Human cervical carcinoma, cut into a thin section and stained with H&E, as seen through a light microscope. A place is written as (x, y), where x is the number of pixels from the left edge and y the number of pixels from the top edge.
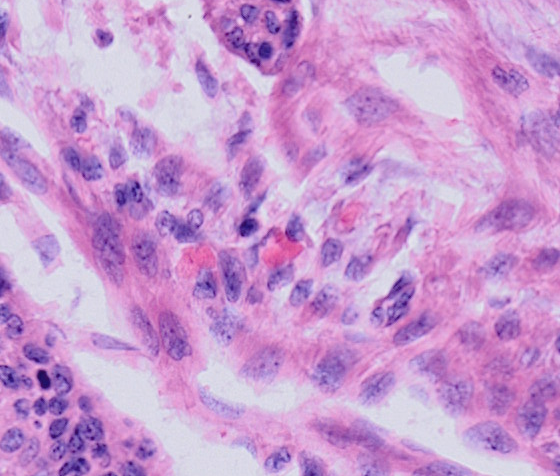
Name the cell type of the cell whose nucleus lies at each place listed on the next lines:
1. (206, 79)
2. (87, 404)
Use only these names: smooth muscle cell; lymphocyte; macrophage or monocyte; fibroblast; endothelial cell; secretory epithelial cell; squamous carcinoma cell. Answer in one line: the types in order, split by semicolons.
fibroblast; squamous carcinoma cell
